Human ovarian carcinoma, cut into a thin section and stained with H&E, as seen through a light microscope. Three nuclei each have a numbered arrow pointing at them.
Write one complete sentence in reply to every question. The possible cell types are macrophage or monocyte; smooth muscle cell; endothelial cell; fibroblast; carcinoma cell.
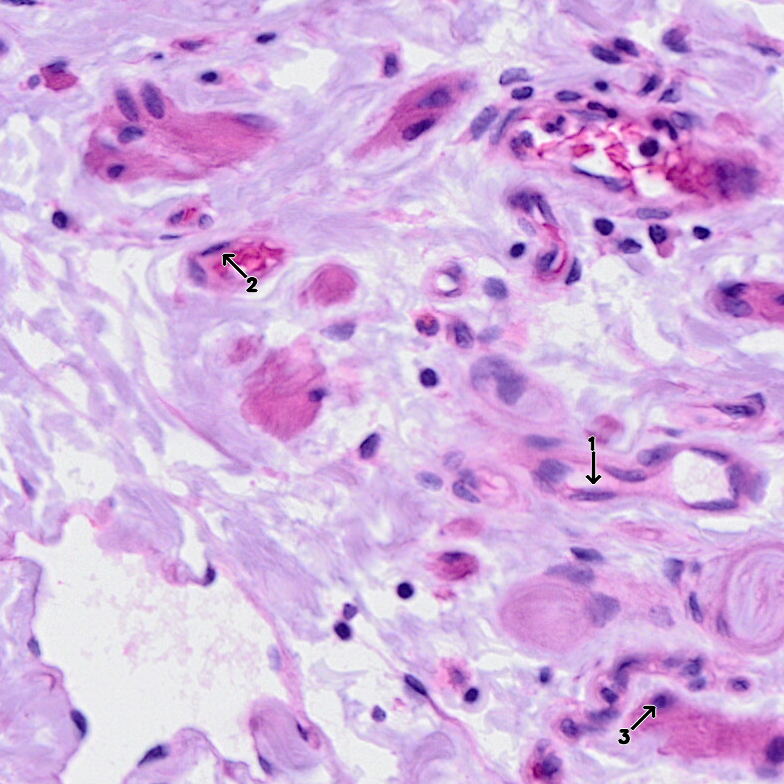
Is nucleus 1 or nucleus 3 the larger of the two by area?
Nucleus 1 is the larger one, covering about 1.5 times the area of nucleus 3.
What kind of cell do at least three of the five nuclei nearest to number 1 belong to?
Most of the five nuclei nearest to number 1 are those of endothelial cells.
